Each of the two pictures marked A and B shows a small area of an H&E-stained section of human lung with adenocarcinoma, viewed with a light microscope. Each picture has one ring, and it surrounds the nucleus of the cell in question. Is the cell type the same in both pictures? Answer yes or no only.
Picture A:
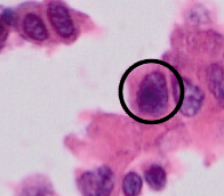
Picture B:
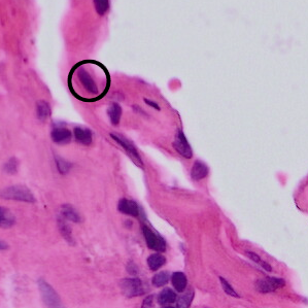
no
